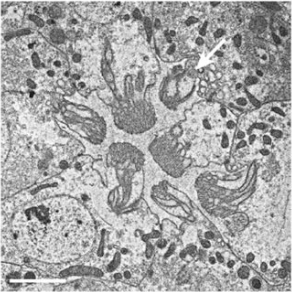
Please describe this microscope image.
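This cross-section of a fly ommatidium shows degenerating photoreceptor cells. Instead of compact dense ovals, the rhabdomeres appear as pale, frayed and curled fragments of striated membrane scattered around the centre.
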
